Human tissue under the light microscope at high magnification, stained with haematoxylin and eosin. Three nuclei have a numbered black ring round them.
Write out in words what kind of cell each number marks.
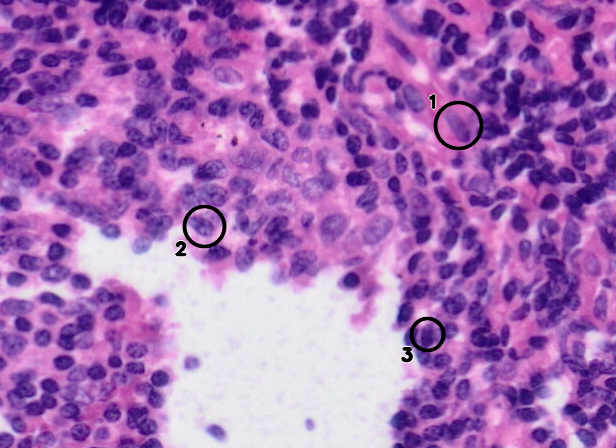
Cell 1 is an endothelial cell. Cell 2 is a proliferating B cell. Cell 3 is a small lymphocyte.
